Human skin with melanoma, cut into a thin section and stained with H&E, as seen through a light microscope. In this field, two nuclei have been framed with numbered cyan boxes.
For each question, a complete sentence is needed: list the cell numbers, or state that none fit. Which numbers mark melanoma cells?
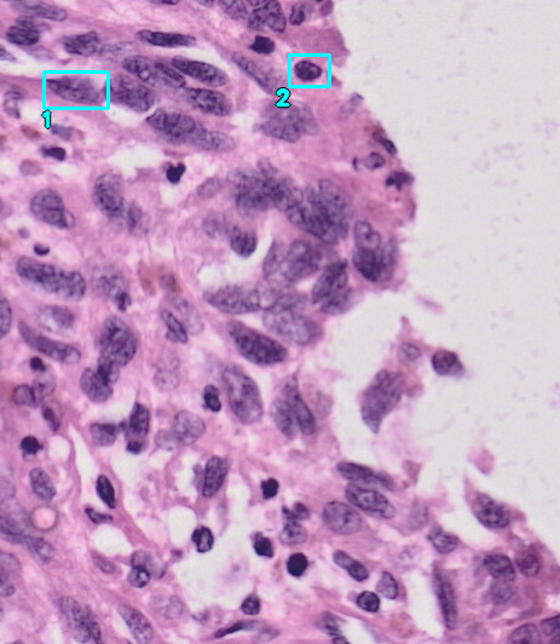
No marked cell except number 1 is a melanoma cell.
